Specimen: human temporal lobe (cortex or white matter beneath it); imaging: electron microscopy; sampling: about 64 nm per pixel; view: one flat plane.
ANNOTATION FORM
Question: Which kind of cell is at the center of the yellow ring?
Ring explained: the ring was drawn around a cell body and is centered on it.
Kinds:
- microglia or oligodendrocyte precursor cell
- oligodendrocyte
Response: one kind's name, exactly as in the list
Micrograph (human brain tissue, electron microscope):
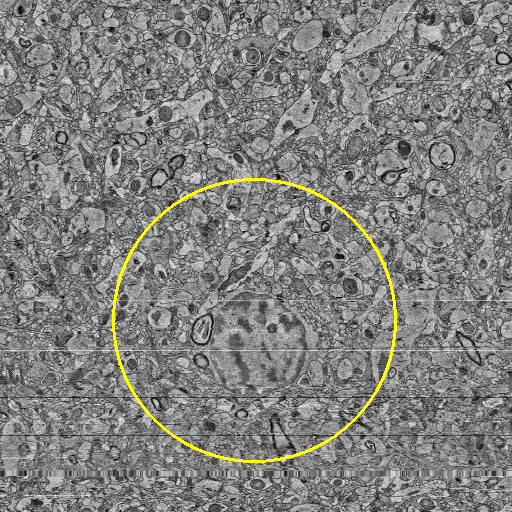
oligodendrocyte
